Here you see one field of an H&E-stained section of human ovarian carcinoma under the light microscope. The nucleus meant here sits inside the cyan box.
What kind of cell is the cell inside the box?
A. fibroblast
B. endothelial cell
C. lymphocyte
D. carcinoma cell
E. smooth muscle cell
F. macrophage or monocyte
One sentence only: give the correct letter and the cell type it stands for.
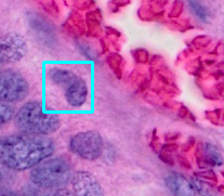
Option F matches the cell inside the box, which is a macrophage or monocyte.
